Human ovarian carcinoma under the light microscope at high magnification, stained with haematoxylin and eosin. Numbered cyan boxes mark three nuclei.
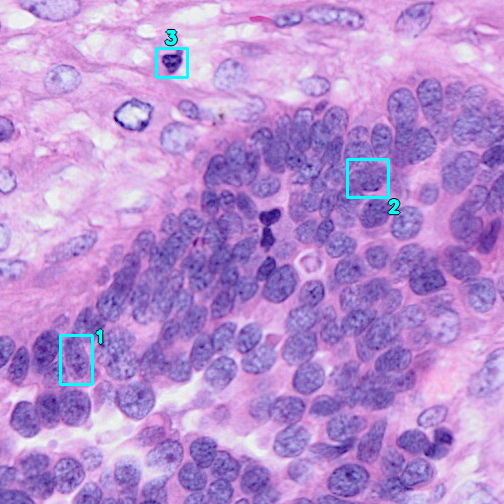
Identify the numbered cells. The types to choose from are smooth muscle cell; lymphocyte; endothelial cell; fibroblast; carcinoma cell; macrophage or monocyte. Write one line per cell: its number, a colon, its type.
1: carcinoma cell
2: carcinoma cell
3: lymphocyte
